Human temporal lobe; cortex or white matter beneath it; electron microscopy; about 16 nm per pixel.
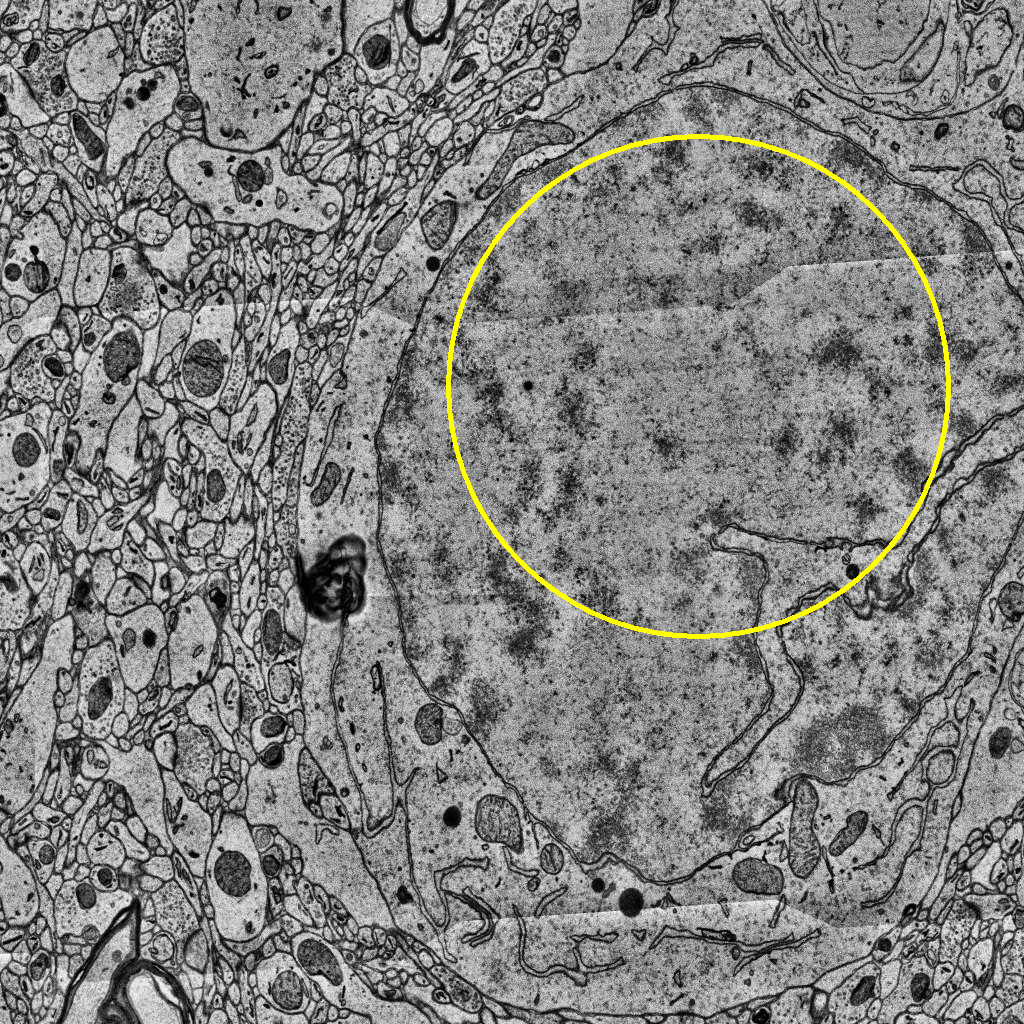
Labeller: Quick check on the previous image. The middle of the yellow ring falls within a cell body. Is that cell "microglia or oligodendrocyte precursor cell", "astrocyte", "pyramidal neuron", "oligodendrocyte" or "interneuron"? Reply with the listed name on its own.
interneuron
